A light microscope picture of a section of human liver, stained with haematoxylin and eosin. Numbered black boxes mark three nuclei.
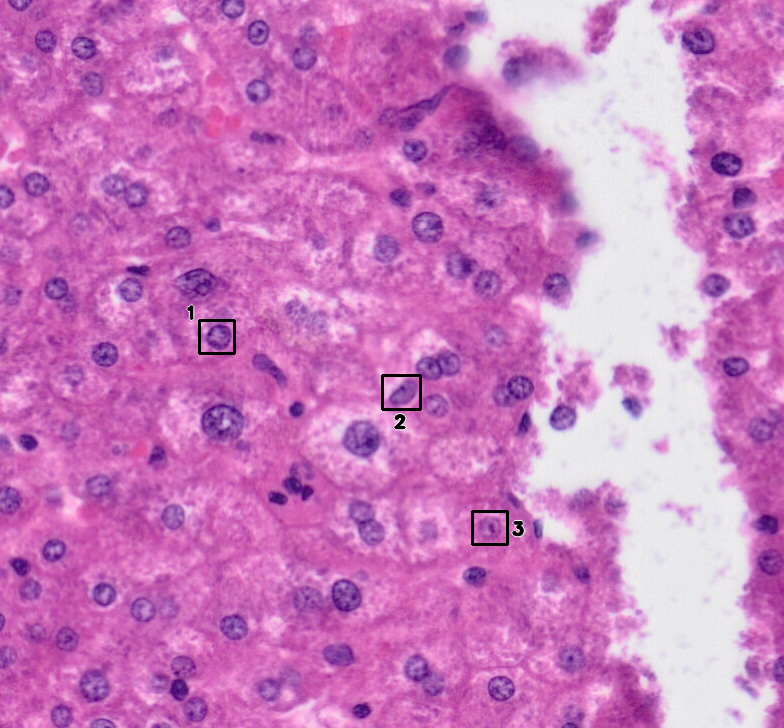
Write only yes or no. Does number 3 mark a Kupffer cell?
no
